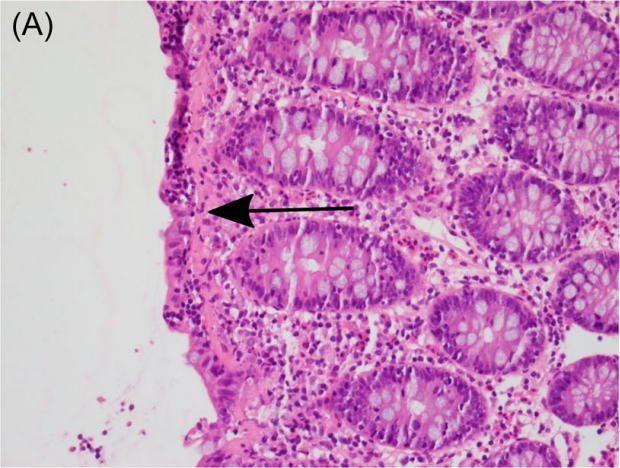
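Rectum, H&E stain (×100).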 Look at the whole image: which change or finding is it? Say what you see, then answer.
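A thickened pink band lies under the surface epithelium. The lamina propria between the crypts is crowded with small round inflammatory cells. Crypts remain regular, tubular and evenly spaced.
Answer: collagenous colitis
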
